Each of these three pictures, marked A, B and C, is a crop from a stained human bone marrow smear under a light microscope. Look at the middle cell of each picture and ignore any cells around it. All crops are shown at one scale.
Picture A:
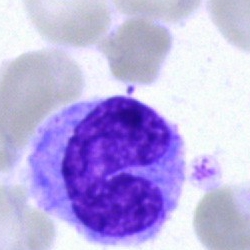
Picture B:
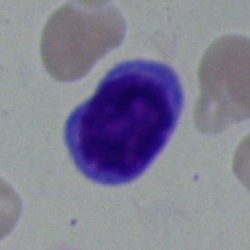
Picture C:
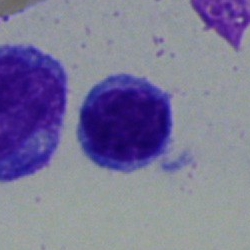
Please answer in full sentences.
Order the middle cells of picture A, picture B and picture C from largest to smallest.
From the largest down, the order is A, B, C.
